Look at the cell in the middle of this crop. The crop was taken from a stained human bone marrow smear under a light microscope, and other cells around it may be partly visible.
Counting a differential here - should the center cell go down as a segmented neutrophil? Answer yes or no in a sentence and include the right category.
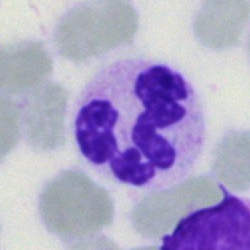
Yes, the cell found at the centre of the crop is a segmented neutrophil.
